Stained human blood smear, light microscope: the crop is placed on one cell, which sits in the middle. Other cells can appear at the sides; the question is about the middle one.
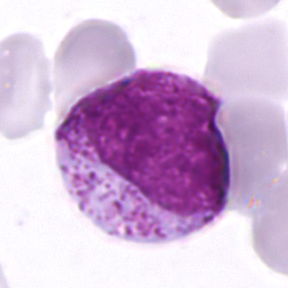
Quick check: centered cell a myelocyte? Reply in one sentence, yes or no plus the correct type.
Yes, the cell shown in the middle is a myelocyte.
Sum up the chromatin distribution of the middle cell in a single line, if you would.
Answer: the chromatin is fine and has no coarse clumps.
